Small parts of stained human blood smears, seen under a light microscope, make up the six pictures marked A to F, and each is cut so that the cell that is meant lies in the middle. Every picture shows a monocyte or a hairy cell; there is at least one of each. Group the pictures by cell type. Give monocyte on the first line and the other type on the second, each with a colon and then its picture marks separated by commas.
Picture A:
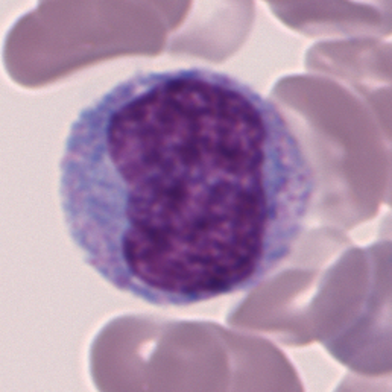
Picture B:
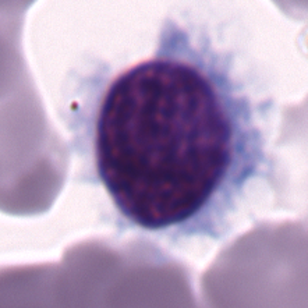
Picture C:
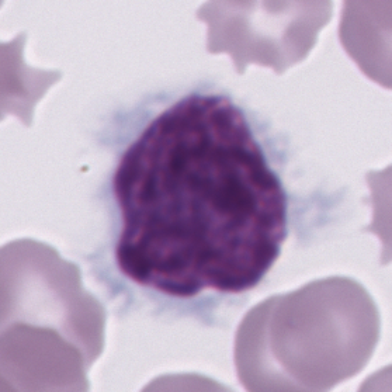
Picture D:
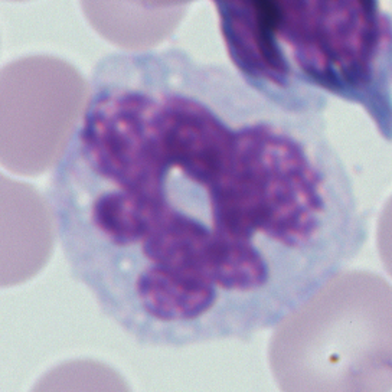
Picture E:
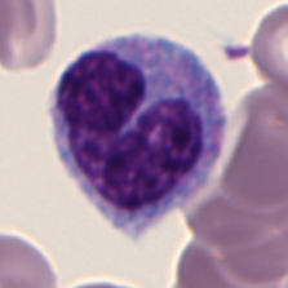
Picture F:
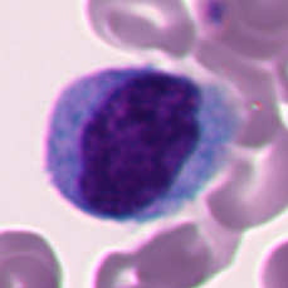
monocyte: A, D, E, F
hairy cell: B, C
